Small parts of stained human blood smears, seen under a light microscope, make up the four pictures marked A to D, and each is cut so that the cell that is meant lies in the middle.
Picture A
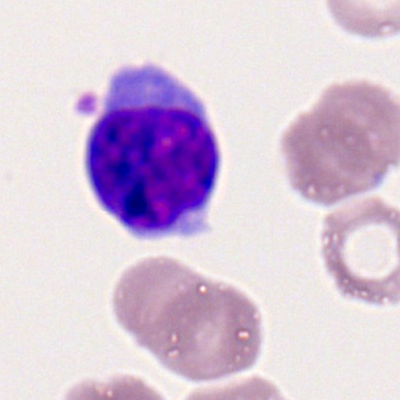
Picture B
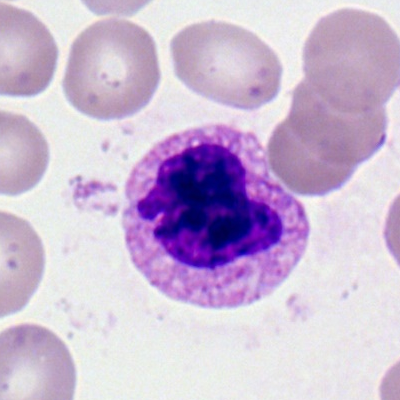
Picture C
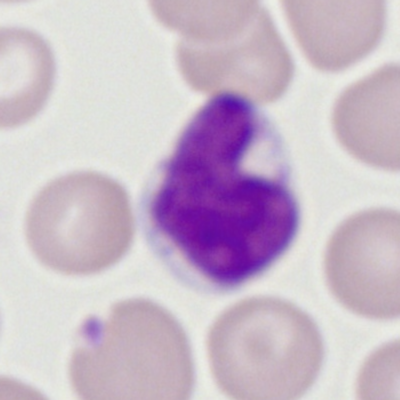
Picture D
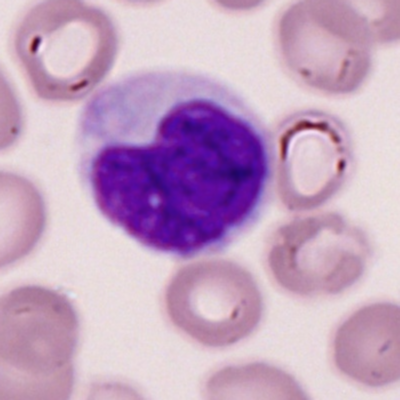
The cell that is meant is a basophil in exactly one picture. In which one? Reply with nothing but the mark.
B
